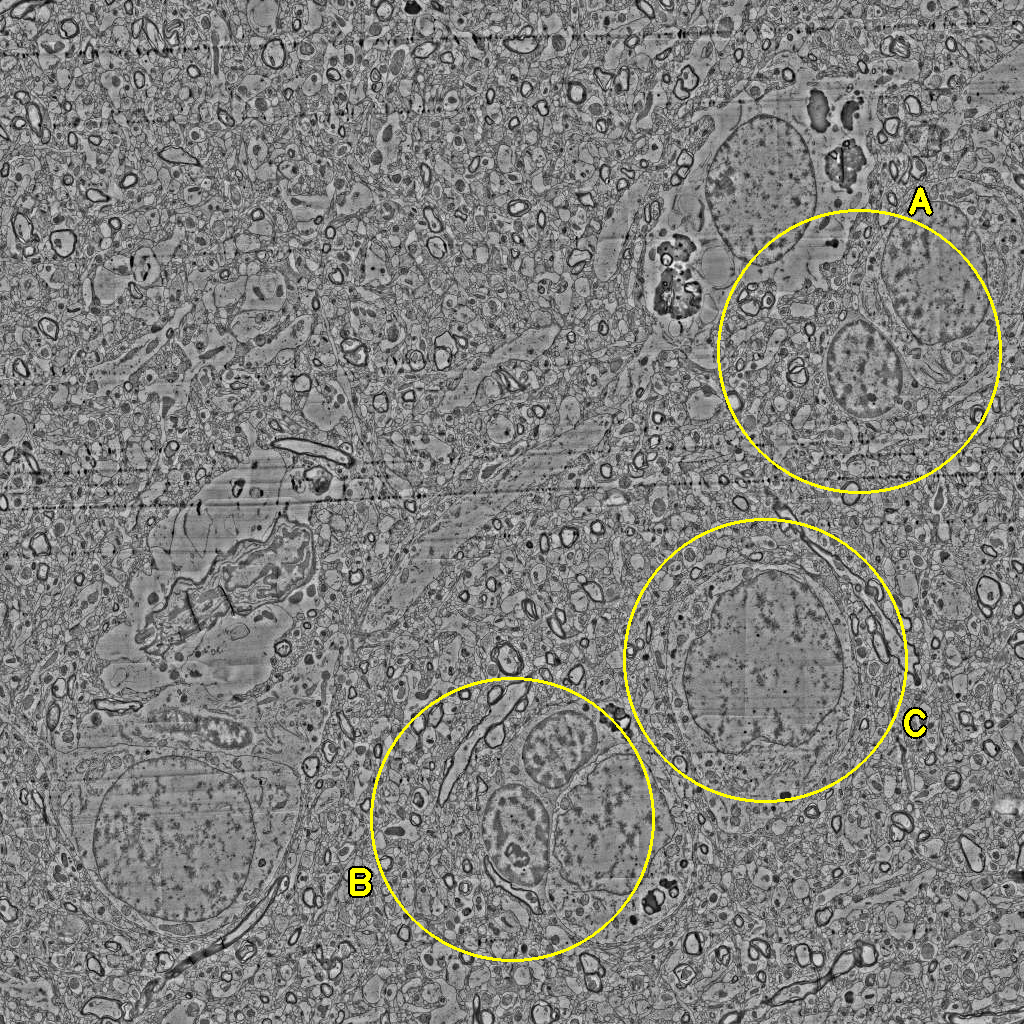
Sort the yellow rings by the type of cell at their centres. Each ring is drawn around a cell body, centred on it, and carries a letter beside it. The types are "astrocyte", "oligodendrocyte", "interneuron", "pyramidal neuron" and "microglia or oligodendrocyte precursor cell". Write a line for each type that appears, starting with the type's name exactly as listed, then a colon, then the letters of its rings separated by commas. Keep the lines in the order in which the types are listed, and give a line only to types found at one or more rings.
oligodendrocyte: A, B
pyramidal neuron: C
